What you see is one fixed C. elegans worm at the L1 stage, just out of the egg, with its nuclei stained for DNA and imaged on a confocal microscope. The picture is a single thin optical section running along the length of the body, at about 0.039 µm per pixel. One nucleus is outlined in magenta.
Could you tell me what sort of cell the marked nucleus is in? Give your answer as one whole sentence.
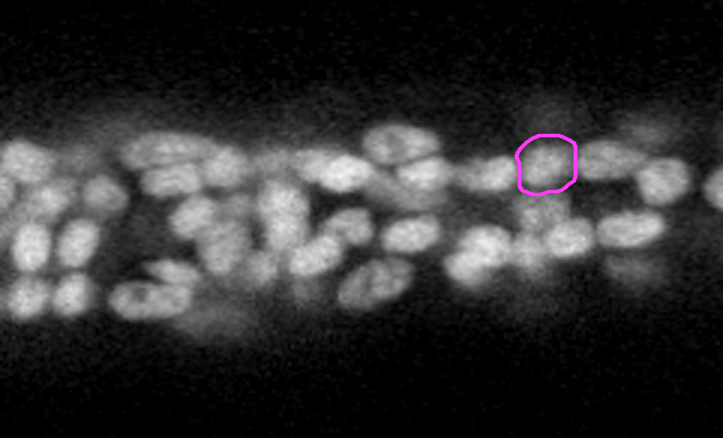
This nucleus is from an arcade cell.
